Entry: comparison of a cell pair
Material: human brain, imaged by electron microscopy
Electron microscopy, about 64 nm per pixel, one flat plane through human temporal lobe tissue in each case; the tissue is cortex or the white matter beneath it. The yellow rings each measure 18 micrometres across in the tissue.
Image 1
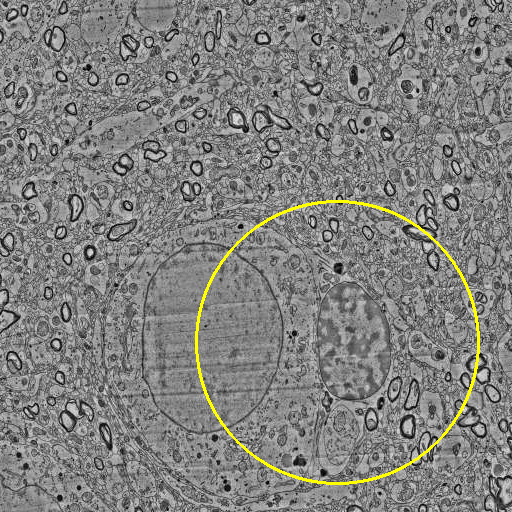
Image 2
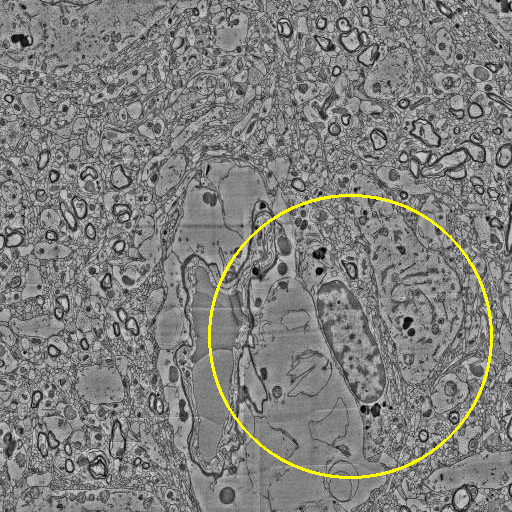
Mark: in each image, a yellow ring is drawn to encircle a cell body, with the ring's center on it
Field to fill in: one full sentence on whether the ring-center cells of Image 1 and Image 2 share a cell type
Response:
Yes, Image 1 and Image 2 each show a ring-center cell of one shared type.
